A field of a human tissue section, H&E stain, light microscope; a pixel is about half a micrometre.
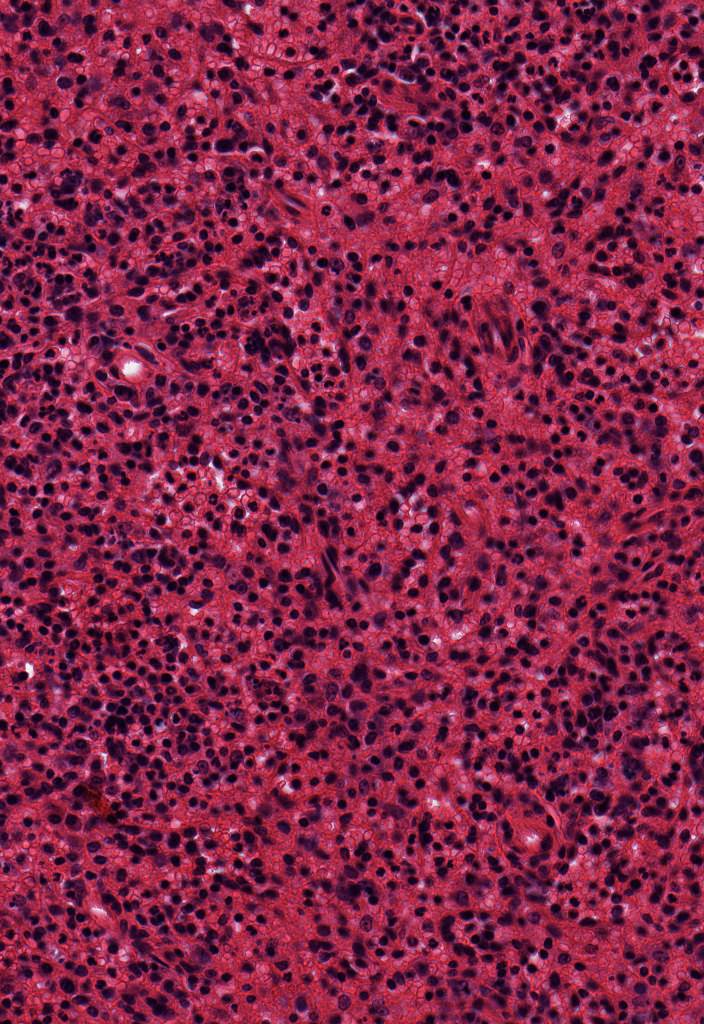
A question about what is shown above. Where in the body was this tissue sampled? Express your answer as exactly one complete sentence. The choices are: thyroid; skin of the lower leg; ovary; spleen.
From the spleen was taken the tissue in this section.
